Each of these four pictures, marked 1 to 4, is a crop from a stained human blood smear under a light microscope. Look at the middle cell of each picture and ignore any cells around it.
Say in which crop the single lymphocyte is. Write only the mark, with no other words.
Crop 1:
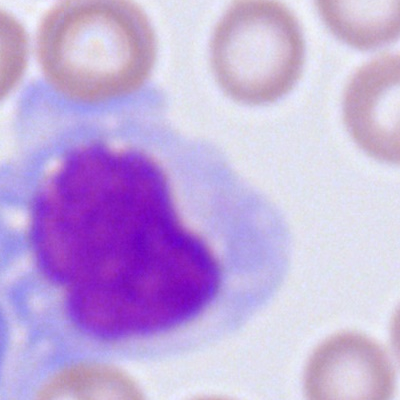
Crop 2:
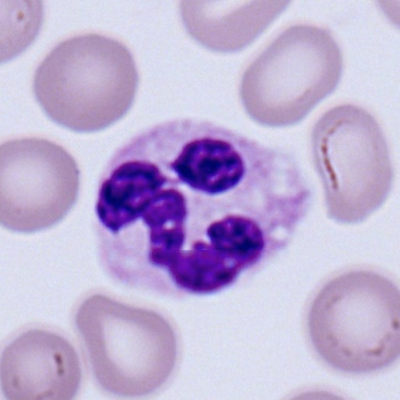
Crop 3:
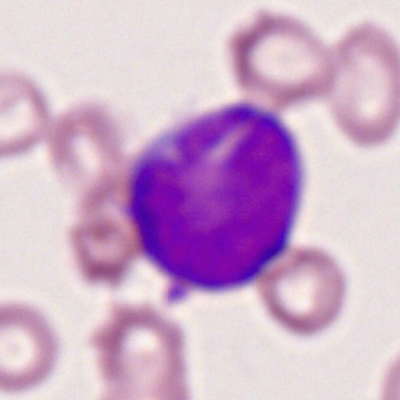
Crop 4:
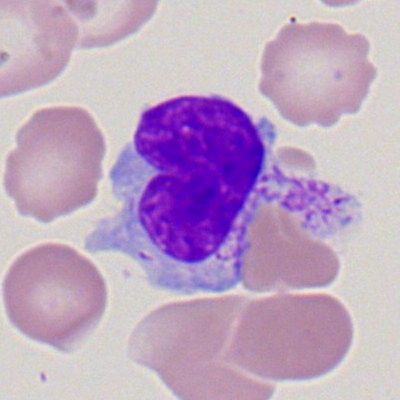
4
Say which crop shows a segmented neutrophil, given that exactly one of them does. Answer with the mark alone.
2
